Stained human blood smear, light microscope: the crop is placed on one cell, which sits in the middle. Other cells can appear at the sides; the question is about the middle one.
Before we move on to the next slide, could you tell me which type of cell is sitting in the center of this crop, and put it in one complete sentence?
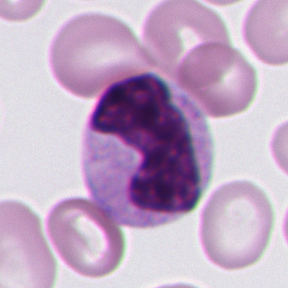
The cell at the centre of the field is a band neutrophil.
